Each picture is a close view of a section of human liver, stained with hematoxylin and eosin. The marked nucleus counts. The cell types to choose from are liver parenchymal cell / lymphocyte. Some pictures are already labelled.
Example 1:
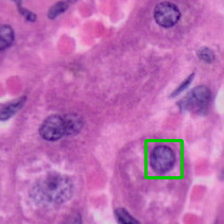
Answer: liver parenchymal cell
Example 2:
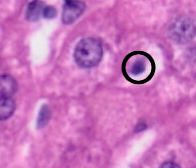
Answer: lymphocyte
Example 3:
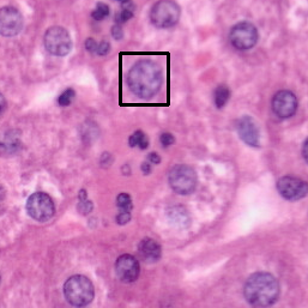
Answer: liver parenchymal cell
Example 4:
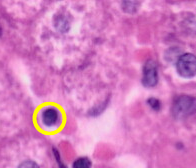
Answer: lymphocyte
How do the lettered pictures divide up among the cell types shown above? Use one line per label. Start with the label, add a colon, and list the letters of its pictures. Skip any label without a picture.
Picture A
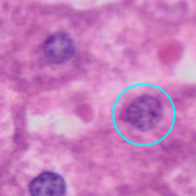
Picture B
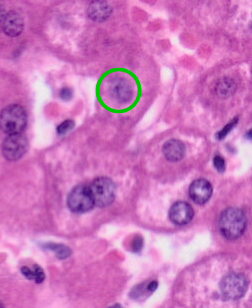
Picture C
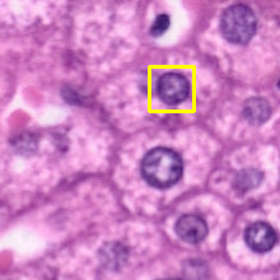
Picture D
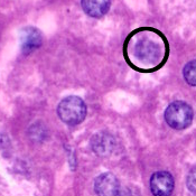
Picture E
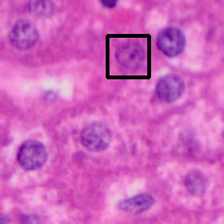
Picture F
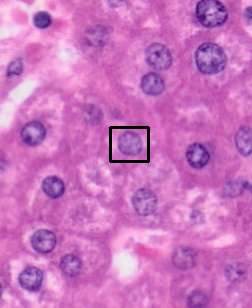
liver parenchymal cell: A, B, C, D, E, F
